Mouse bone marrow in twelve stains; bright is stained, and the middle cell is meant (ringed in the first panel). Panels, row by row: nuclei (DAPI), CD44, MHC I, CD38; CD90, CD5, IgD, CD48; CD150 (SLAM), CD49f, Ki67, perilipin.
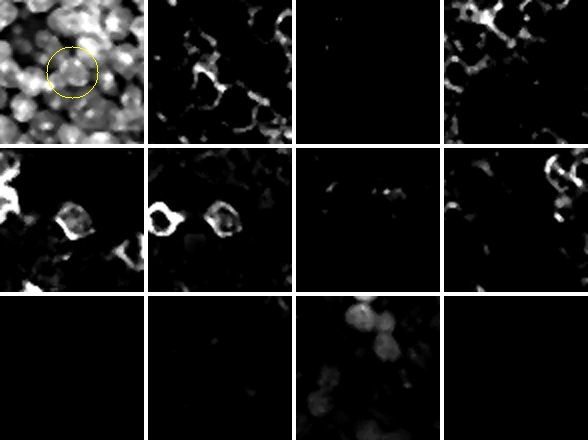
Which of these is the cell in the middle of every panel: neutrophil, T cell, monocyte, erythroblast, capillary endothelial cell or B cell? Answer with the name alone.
T cell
